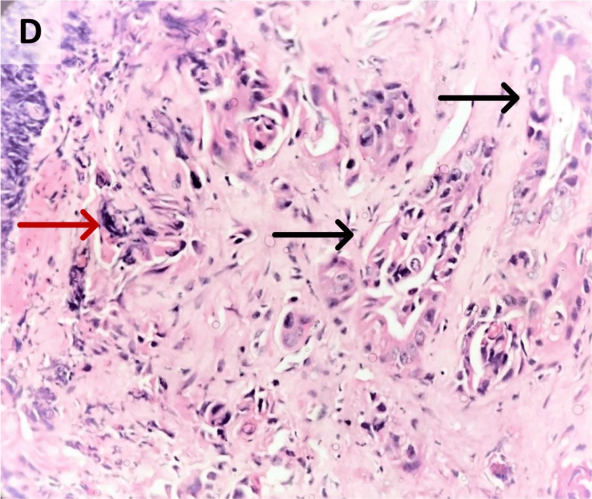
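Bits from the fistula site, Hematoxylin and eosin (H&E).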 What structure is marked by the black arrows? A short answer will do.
Tumor cells arranged in glandular pattern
